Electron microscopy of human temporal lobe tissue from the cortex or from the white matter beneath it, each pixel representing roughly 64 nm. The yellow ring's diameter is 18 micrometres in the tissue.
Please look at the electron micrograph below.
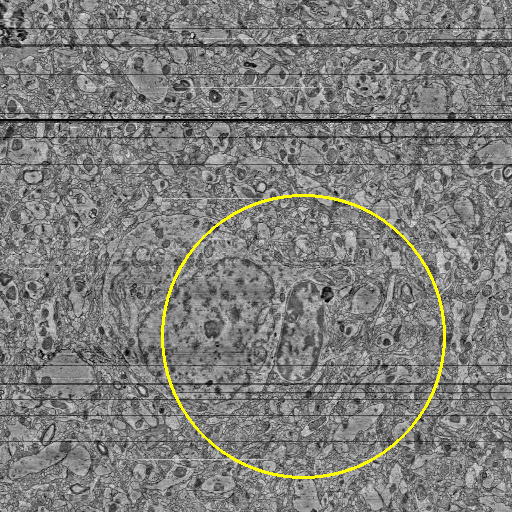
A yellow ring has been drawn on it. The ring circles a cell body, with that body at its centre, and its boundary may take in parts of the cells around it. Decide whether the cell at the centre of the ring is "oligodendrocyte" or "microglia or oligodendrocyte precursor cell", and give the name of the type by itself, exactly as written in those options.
microglia or oligodendrocyte precursor cell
